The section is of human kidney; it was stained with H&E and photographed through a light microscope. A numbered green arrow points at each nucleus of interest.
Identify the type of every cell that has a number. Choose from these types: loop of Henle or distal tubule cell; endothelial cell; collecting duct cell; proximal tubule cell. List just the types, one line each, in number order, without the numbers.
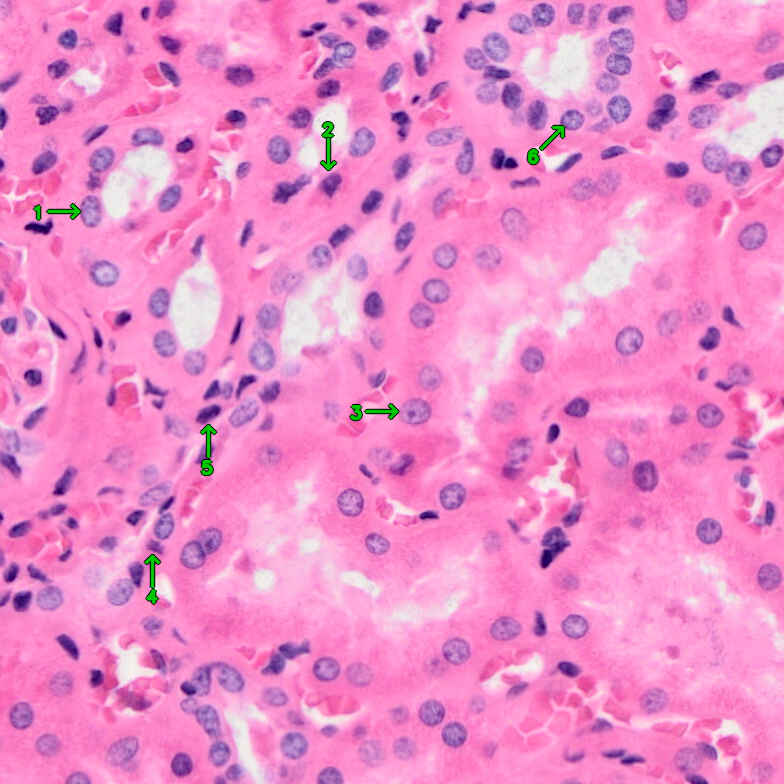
loop of Henle or distal tubule cell
loop of Henle or distal tubule cell
proximal tubule cell
collecting duct cell
collecting duct cell
collecting duct cell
